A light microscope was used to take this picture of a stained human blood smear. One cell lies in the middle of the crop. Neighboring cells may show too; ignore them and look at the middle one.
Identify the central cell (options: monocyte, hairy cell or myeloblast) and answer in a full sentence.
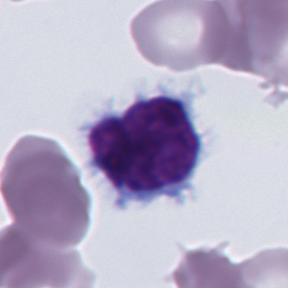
Of the cells in this crop, the central one is a hairy cell.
